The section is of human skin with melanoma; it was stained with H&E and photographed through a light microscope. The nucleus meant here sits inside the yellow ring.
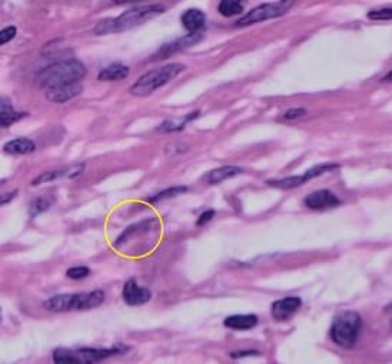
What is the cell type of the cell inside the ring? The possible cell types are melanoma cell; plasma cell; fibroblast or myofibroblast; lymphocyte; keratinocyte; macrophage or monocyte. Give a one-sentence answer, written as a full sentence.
It is as a fibroblast or myofibroblast that the cell inside the ring is recorded.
